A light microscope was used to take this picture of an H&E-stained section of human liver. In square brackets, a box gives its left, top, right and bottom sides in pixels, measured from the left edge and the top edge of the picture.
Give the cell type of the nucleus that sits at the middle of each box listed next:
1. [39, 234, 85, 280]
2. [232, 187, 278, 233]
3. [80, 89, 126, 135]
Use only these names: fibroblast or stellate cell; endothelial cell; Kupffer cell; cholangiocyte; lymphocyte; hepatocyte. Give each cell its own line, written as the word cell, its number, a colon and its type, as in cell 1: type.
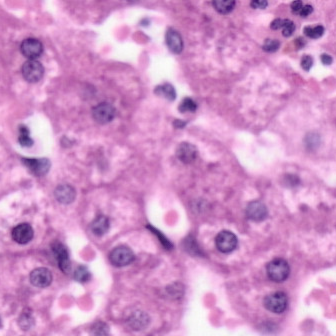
cell 1: Kupffer cell
cell 2: hepatocyte
cell 3: hepatocyte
